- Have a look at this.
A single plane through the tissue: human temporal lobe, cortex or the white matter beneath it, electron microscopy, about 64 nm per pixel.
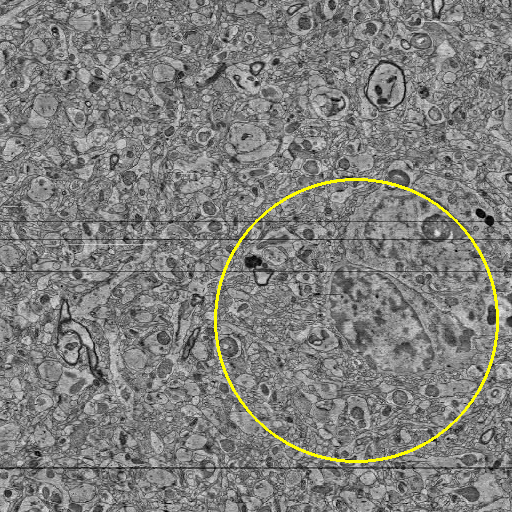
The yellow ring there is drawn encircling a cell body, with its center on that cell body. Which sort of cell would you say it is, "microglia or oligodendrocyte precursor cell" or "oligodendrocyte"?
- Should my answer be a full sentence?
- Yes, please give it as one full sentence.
For this picture, an oligodendrocyte is the cell where the yellow ring has its center.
